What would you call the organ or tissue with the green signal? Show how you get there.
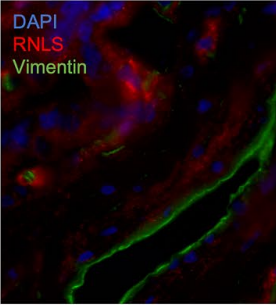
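A thin continuous green line runs along the edge of an elongated space.
Answer: endothelium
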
